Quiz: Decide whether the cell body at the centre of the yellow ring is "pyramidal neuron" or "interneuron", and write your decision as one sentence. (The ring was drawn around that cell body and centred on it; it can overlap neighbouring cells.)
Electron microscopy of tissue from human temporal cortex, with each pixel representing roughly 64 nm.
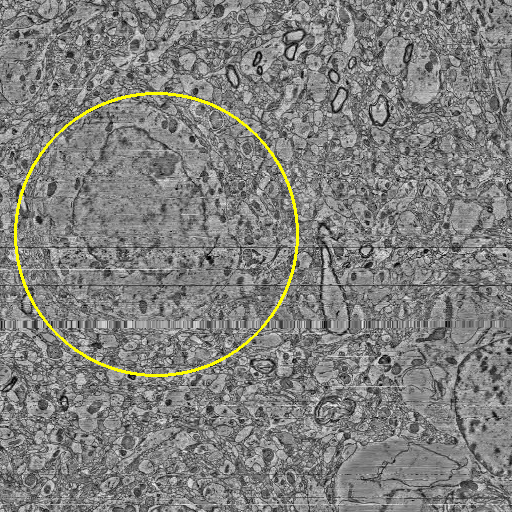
The cell the ring is centred on is a pyramidal neuron.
